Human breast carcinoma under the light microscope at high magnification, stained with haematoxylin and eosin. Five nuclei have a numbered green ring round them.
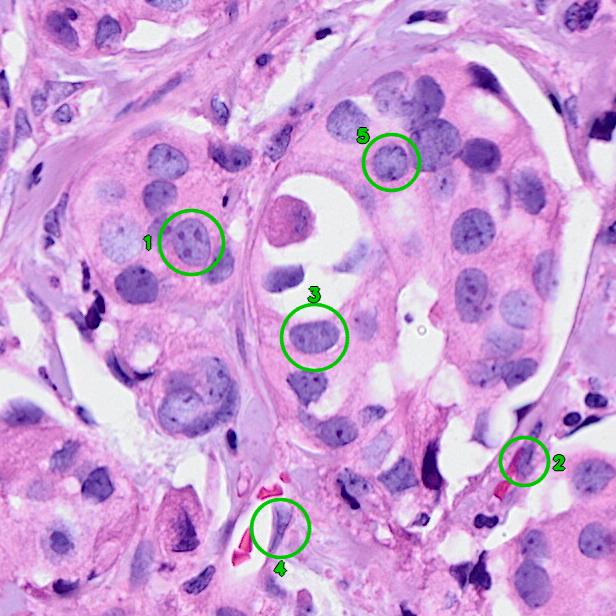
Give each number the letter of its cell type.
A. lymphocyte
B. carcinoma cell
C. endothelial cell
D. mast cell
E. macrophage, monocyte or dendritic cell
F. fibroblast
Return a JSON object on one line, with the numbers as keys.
{"1": "B", "2": "C", "3": "B", "4": "C", "5": "B"}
